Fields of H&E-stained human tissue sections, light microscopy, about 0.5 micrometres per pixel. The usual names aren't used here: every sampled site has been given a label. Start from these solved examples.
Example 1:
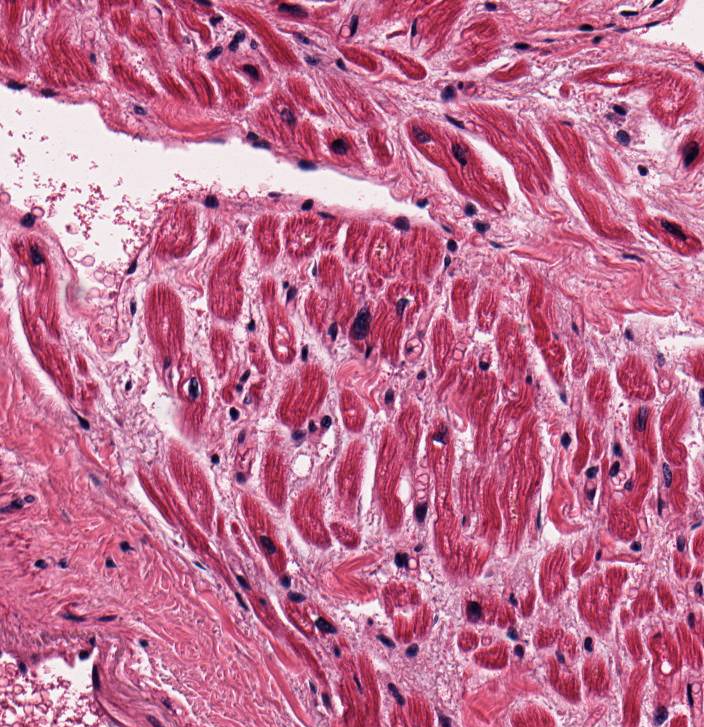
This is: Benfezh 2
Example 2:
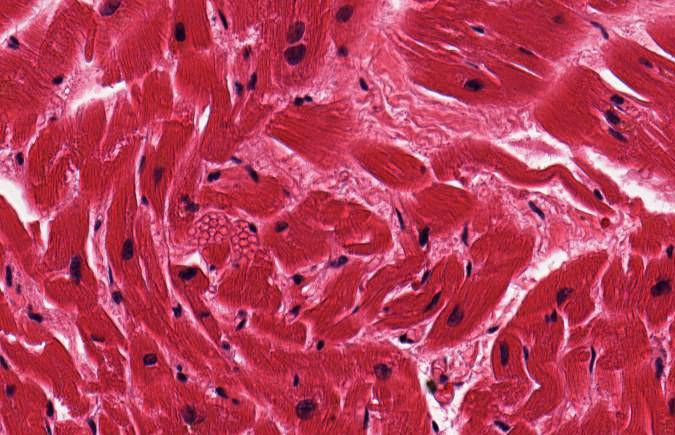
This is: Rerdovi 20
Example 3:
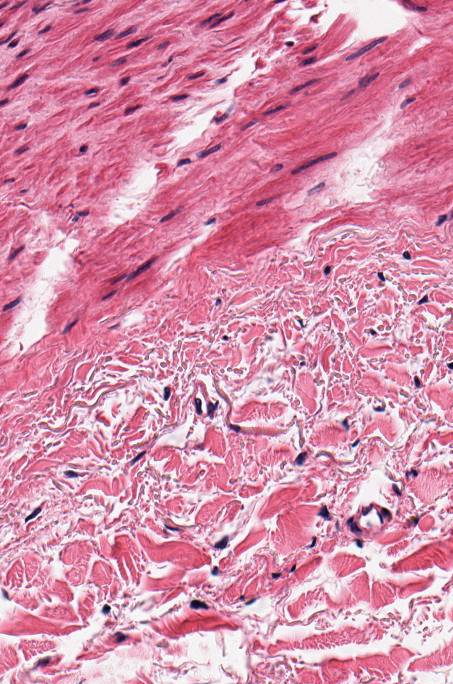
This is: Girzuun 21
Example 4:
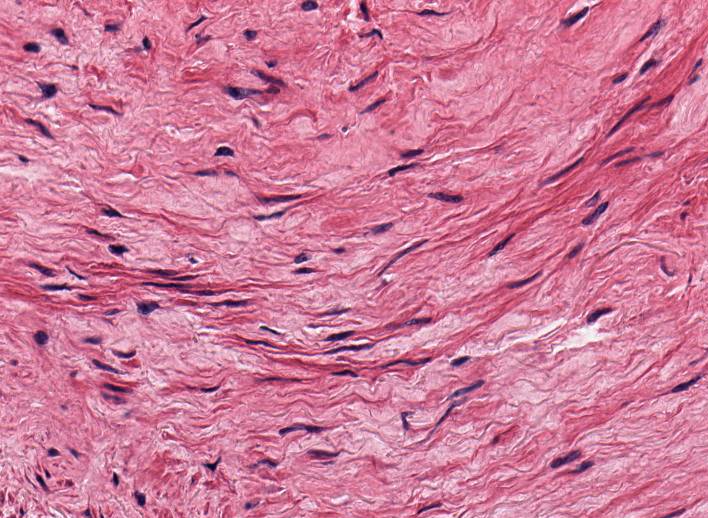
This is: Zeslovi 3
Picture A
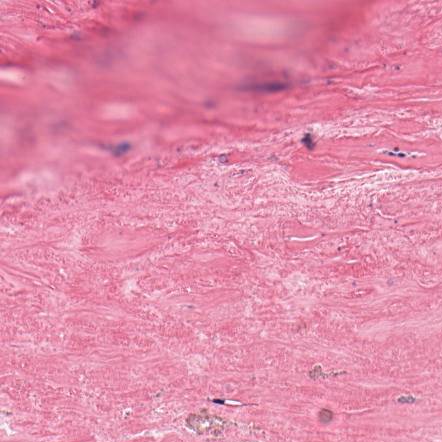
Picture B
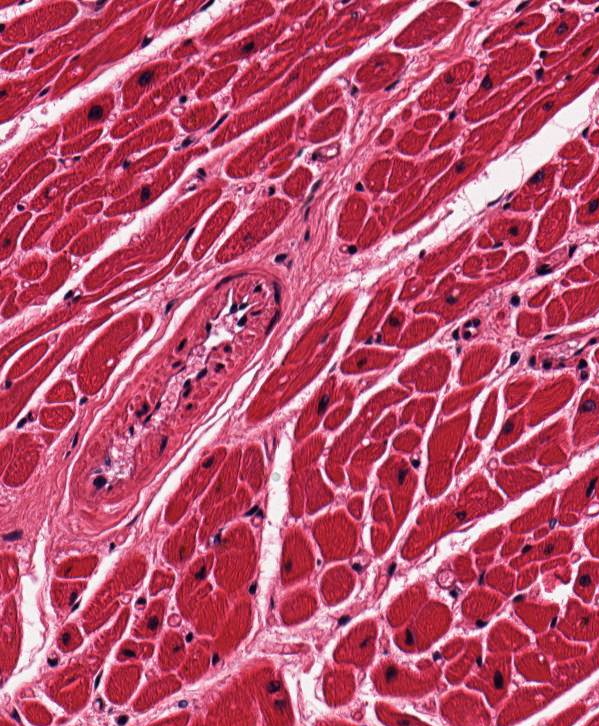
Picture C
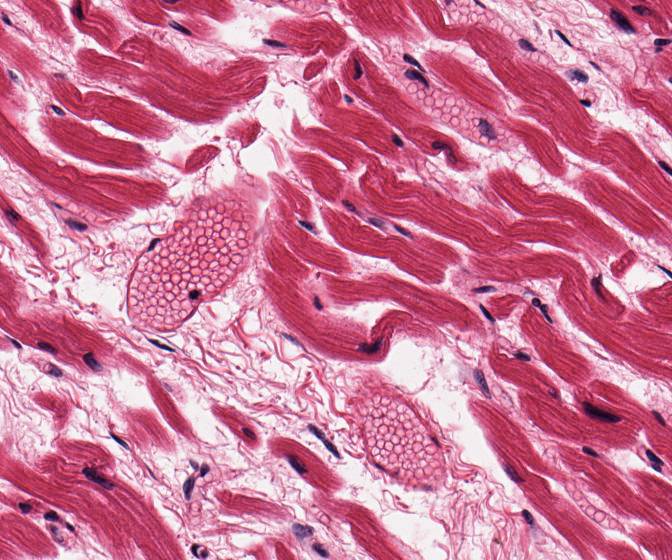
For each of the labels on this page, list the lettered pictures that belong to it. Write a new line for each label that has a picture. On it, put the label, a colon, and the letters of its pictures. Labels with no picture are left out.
Benfezh 2: C
Rerdovi 20: B
Zeslovi 3: A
